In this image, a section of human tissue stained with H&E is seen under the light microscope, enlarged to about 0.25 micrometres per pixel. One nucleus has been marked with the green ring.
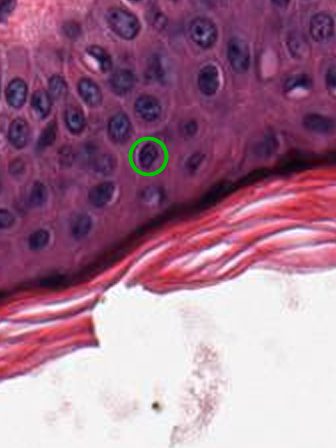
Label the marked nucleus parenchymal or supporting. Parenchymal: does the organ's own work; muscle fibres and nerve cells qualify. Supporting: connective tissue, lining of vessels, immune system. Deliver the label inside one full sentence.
The marked nucleus belongs to one of the parenchymal cells, namely a keratinocyte.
